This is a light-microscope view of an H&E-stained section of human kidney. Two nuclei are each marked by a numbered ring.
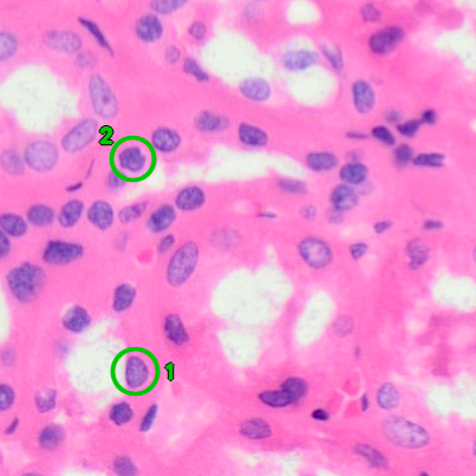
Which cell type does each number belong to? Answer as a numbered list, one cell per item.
1. loop of Henle or distal tubule cell
2. collecting duct cell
